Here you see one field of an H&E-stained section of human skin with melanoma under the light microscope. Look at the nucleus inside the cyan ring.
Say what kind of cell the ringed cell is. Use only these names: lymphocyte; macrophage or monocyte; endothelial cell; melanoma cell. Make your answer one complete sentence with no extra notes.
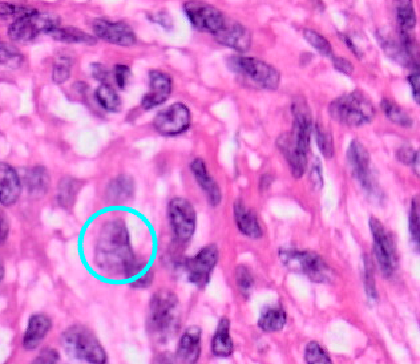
The identity of the ringed cell is that of a melanoma cell.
